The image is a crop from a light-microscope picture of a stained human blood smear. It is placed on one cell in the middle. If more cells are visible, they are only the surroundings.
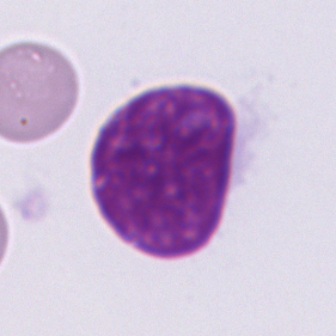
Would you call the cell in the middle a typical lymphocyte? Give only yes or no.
no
